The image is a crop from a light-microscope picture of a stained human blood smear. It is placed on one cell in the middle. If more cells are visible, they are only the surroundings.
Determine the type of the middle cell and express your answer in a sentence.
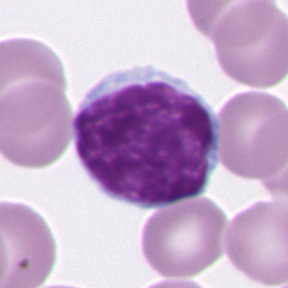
The centrally positioned cell in the crop represents a lymphocyte.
